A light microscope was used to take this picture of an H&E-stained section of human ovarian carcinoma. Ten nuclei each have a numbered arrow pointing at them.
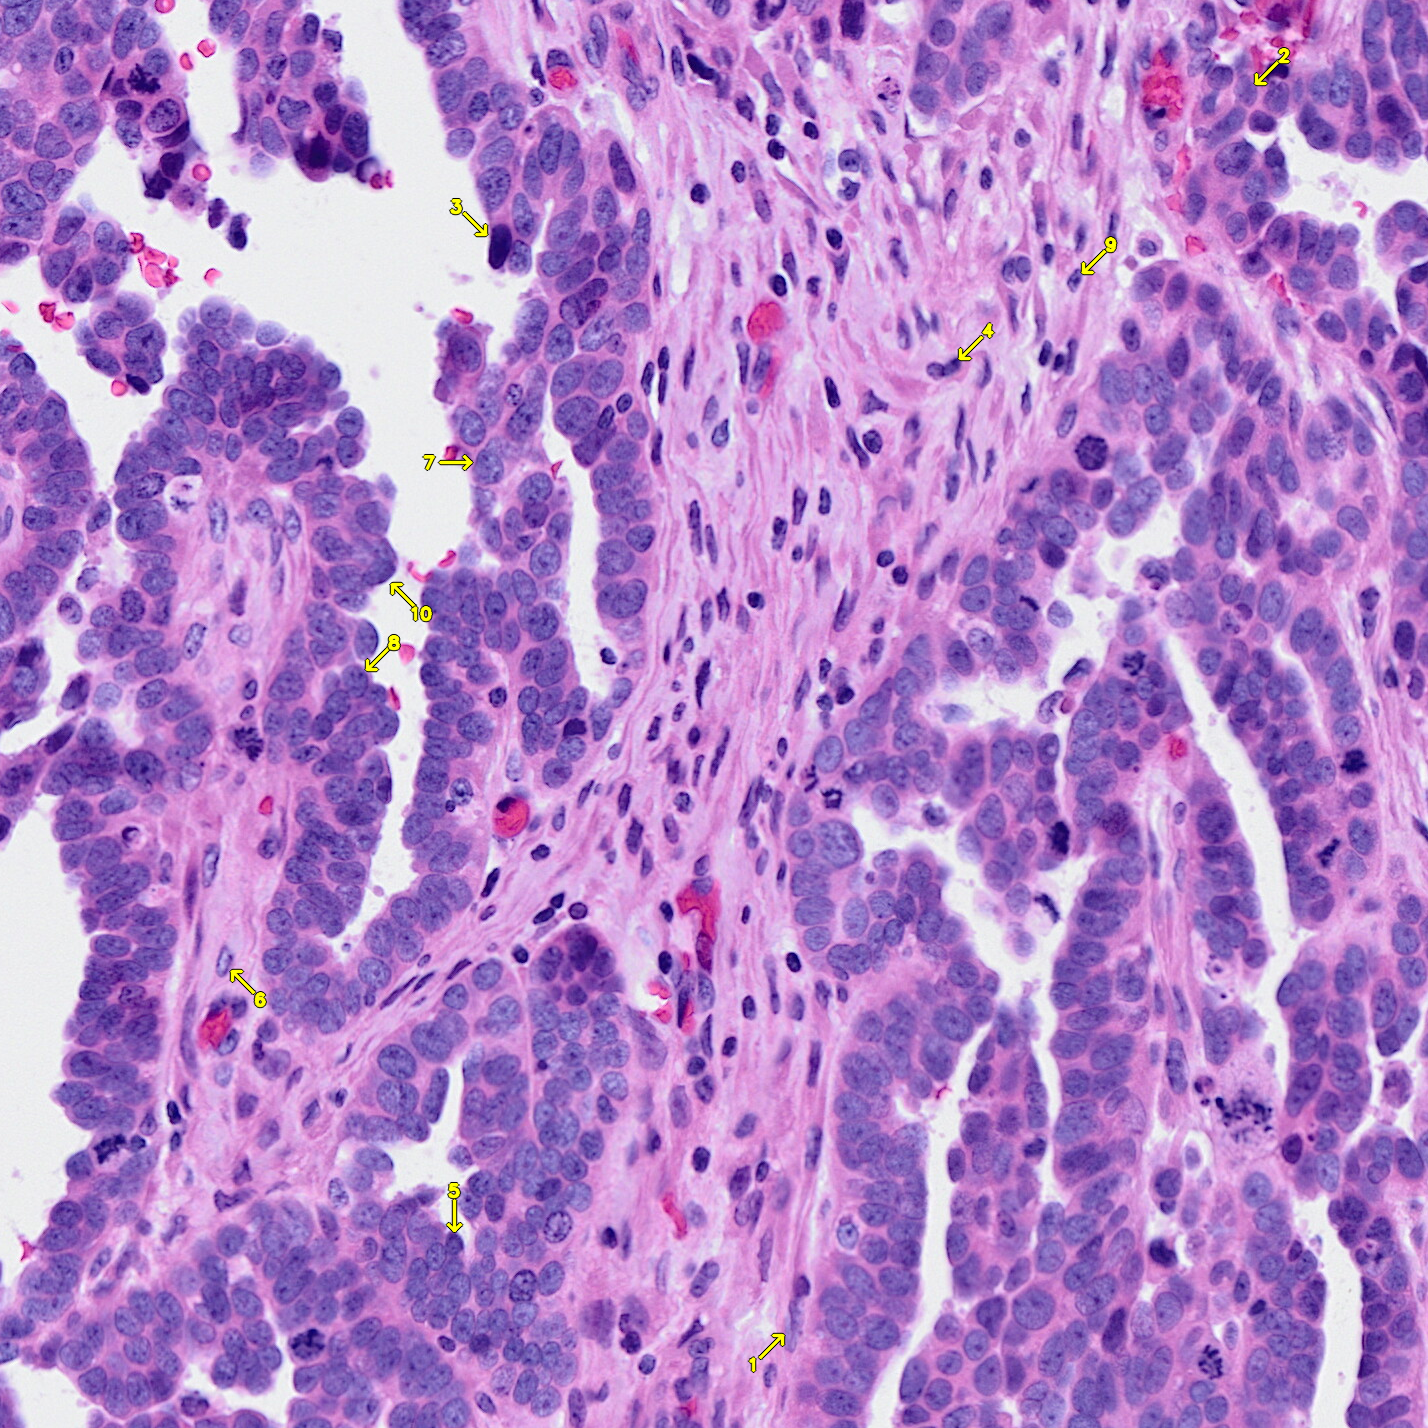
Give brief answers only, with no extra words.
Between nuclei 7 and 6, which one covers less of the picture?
6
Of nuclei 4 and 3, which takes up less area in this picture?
4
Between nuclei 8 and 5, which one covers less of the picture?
5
